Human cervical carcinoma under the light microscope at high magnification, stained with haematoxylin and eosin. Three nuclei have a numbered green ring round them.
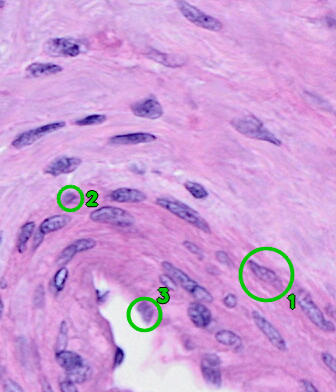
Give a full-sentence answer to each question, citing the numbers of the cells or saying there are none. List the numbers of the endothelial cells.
Cell 3 is the only numbered cell that is an endothelial cell.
